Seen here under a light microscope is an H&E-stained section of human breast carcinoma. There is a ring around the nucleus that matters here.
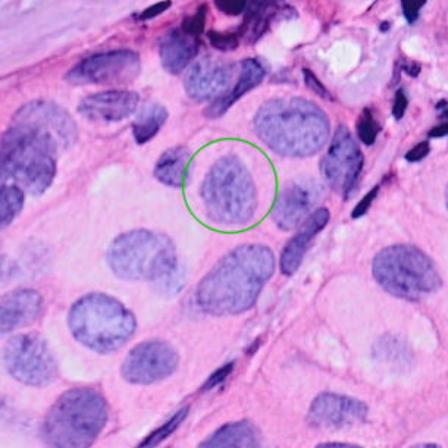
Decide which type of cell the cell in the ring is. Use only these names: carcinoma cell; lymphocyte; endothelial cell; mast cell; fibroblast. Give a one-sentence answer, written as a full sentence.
As classified here, the cell in the ring is a carcinoma cell.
